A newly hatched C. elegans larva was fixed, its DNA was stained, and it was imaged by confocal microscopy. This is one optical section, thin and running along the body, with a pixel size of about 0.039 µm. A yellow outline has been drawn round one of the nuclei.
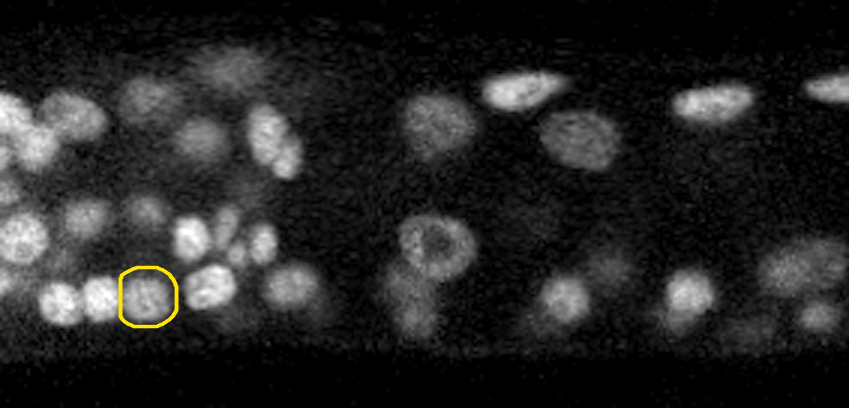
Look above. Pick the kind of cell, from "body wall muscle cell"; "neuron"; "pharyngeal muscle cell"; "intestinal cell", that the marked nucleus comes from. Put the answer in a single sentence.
It belongs to a neuron.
